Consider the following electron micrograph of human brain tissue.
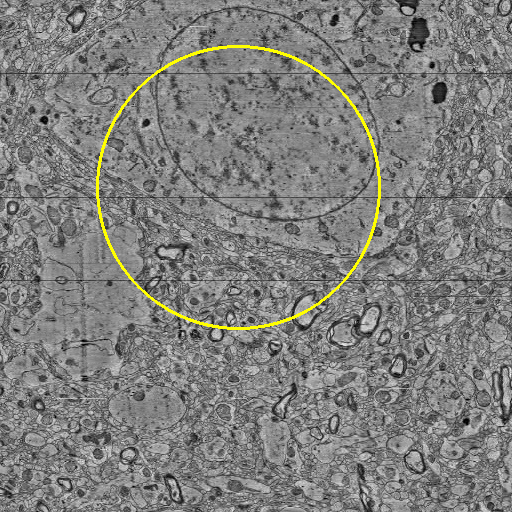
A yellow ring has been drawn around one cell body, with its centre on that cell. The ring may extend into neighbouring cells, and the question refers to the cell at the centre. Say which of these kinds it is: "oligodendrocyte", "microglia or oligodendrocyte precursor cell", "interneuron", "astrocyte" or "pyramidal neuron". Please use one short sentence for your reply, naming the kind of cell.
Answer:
The centre of the ring falls on a pyramidal neuron.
